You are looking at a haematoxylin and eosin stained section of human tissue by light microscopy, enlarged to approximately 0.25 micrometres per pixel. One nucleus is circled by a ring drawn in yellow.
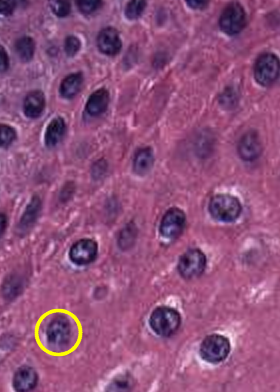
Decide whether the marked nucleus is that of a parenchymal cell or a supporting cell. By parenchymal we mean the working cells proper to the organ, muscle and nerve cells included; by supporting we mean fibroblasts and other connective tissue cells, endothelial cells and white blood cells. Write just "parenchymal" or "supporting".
parenchymal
